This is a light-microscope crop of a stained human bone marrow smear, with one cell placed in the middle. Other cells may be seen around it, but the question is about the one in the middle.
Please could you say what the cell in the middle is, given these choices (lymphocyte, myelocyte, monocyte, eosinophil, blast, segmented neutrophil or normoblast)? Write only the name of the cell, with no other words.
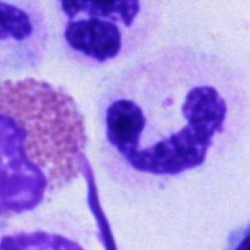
segmented neutrophil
